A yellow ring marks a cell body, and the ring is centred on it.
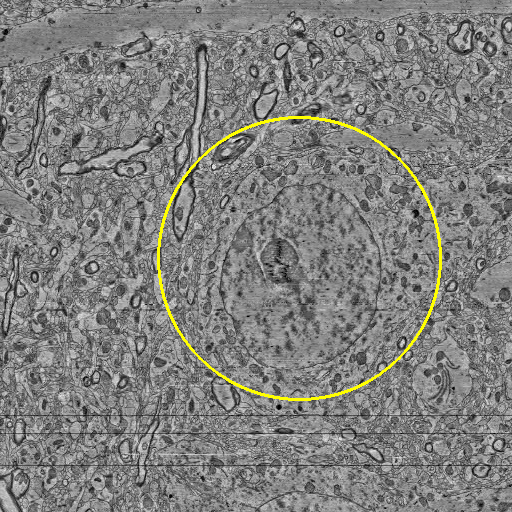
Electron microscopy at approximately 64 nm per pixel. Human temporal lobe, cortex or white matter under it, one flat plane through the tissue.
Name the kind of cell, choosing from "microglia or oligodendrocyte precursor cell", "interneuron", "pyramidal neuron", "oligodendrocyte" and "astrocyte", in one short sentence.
The marked cell body belongs to an interneuron.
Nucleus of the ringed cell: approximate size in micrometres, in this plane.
Roughly 13 by 10 micrometres in this plane, for the nucleus of the ringed cell.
